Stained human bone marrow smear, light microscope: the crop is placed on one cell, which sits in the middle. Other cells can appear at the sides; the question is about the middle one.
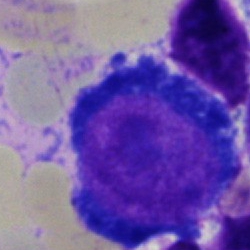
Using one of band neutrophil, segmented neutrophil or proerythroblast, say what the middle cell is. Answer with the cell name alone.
proerythroblast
